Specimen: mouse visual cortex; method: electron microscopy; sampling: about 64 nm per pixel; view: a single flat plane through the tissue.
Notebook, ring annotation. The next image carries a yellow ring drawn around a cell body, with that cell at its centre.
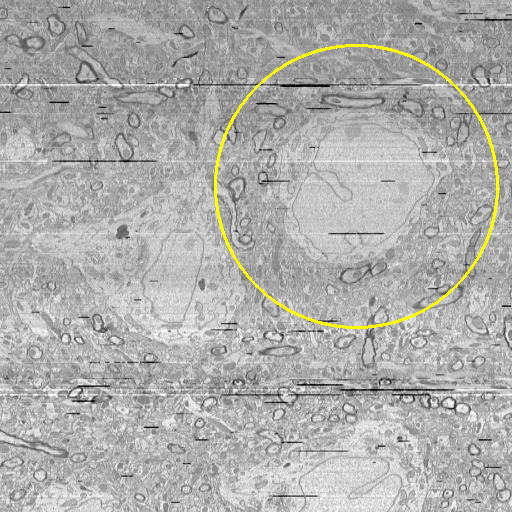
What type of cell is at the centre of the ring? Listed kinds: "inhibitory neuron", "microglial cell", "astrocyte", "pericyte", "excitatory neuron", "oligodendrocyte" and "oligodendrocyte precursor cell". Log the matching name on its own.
excitatory neuron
